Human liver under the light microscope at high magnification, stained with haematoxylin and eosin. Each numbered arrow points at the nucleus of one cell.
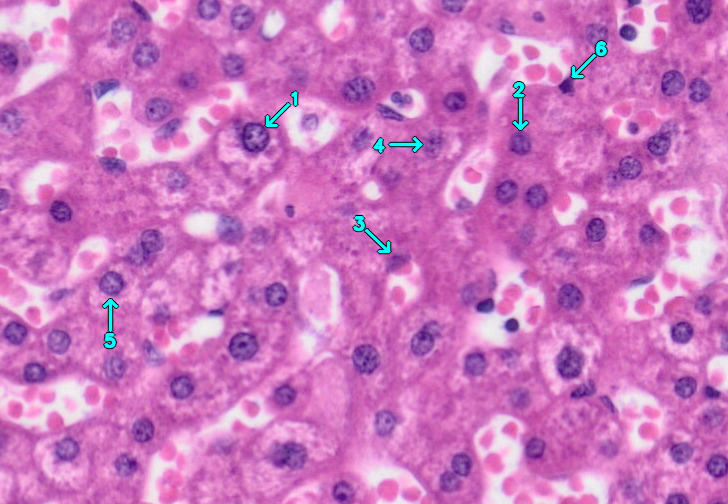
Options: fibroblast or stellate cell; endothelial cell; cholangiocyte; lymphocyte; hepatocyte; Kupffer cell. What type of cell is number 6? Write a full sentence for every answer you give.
To a fibroblast or stellate cell belongs the nucleus marked 6.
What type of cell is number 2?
In the tissue shown, cell 2 is a hepatocyte.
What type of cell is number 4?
Corresponding to a hepatocyte is the cell labelled 4.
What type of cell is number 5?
The cell identified by number 5 is a hepatocyte.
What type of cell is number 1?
Denoted by the label 1 in the section is a hepatocyte.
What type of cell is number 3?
The cell that goes by number 3 is an endothelial cell.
